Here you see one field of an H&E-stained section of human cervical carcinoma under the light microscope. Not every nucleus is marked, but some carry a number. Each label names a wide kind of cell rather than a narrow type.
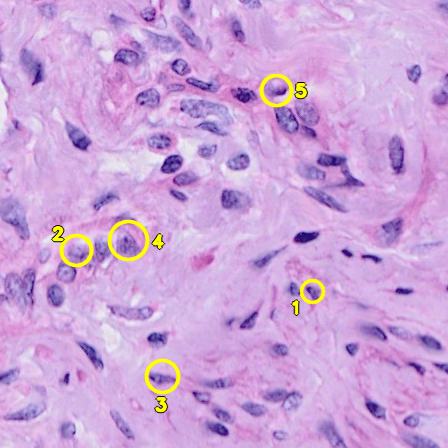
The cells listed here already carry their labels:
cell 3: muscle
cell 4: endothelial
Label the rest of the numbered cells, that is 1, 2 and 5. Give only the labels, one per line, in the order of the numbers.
muscle
endothelial
endothelial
